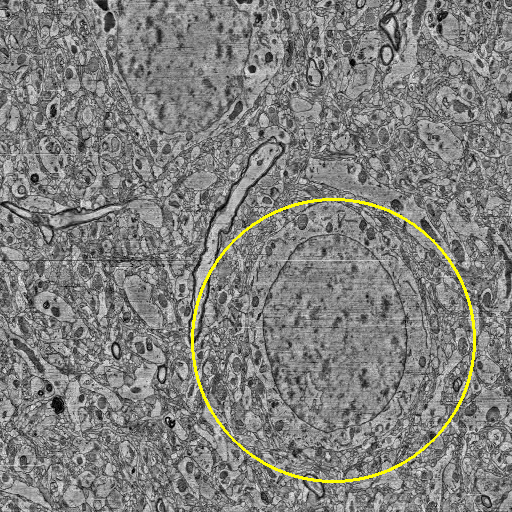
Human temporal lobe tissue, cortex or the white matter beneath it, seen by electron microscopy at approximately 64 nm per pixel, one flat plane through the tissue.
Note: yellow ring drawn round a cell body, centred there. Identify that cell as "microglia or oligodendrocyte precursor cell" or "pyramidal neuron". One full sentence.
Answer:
The cell in the middle of the ring is a pyramidal neuron.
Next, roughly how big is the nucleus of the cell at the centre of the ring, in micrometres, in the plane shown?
In this plane the nucleus is about 13 micrometres by 10.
